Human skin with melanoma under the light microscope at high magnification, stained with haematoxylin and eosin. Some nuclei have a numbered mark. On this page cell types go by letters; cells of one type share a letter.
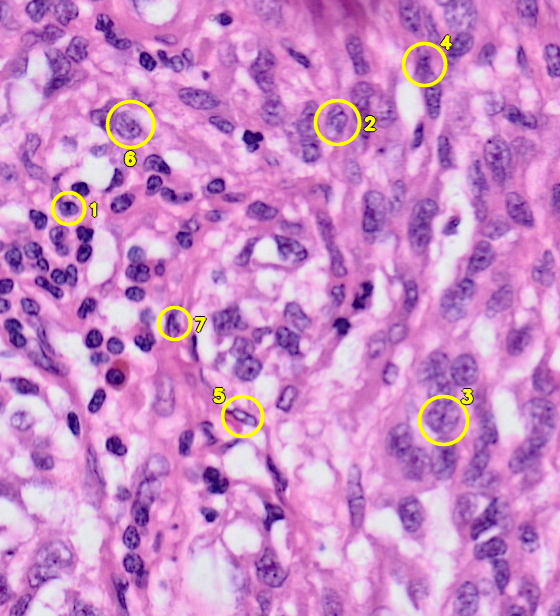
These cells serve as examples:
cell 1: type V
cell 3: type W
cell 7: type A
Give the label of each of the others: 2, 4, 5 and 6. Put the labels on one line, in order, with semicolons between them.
type W; type W; type A; type W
